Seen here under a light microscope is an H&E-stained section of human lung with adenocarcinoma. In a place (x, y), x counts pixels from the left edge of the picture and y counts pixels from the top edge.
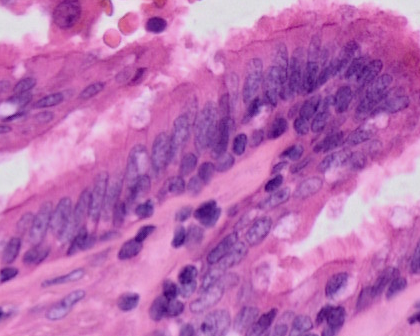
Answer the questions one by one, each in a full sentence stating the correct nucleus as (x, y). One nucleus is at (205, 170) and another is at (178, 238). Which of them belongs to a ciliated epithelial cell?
The cell to which the nucleus at (205, 170) belongs is a ciliated epithelial cell.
